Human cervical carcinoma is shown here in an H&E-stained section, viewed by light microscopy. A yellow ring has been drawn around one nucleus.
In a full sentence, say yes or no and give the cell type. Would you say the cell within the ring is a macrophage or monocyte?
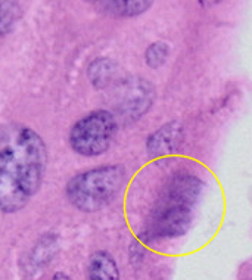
No, the cell within the ring is not a macrophage or monocyte; the correct answer is a squamous carcinoma cell.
